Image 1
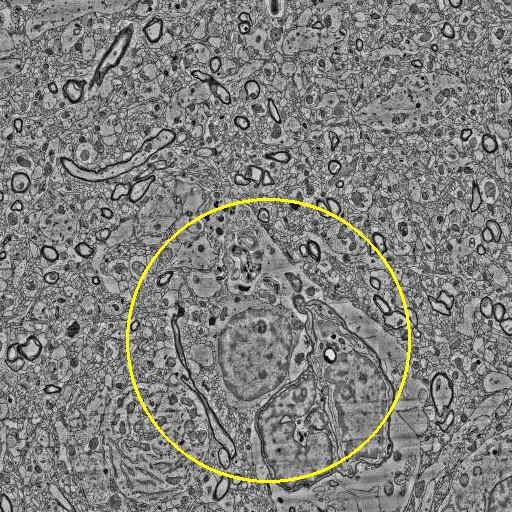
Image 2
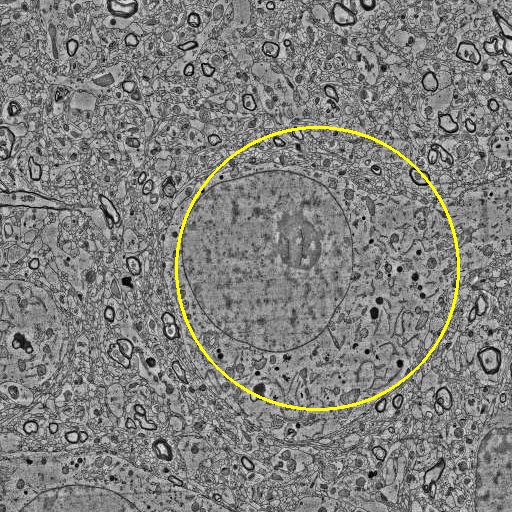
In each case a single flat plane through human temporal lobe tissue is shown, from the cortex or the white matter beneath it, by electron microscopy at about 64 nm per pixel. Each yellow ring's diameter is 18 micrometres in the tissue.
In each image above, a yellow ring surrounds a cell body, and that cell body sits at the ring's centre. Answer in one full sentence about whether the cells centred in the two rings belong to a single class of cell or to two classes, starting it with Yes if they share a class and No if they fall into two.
No, the cells centred in the two yellow rings belong to two classes of cell.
